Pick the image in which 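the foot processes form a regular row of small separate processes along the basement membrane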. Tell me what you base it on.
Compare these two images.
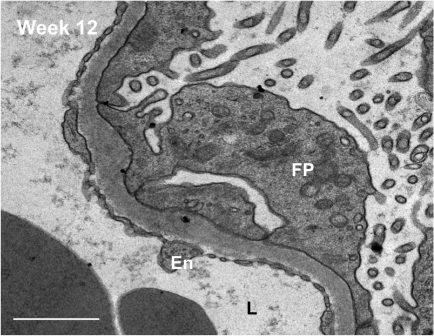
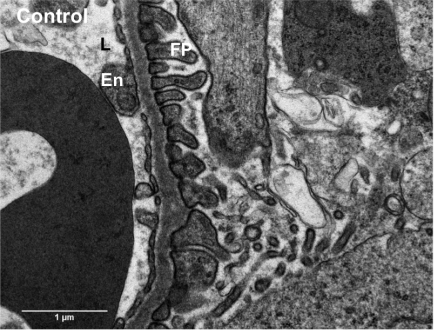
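The second image. First image: a broad continuous cytoplasmic sheet lies on the basement membrane. Second image: many small, evenly spaced processes sit side by side on the basement membrane.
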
